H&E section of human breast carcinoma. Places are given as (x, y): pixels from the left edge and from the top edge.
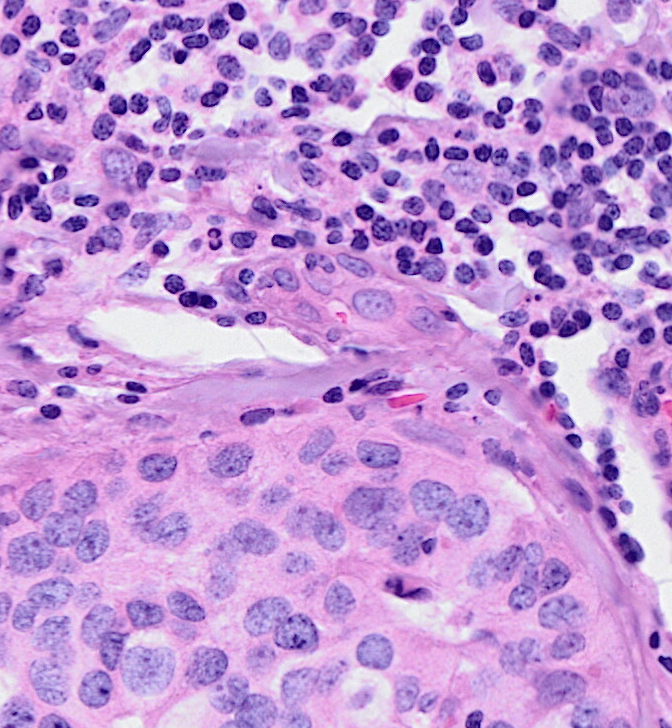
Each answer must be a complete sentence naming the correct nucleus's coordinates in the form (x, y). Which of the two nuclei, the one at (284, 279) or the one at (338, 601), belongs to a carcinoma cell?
The pair contains one nucleus of a carcinoma cell, namely the one at (338, 601).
